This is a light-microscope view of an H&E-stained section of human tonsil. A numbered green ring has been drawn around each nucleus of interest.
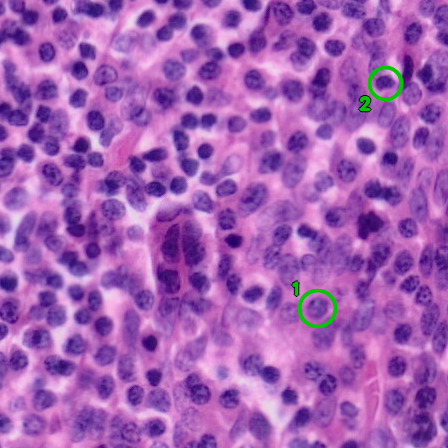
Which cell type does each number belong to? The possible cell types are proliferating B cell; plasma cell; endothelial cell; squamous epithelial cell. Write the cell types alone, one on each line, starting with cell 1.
plasma cell
squamous epithelial cell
